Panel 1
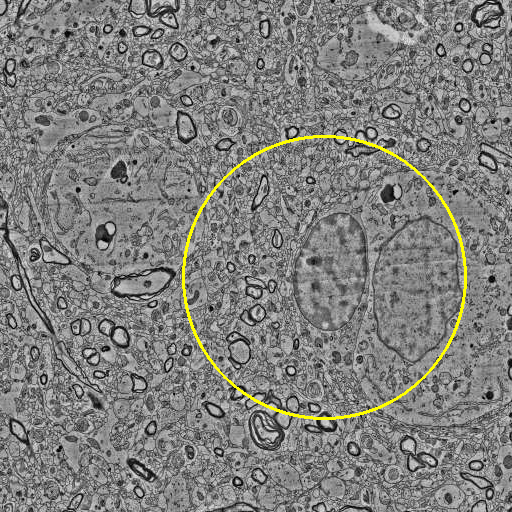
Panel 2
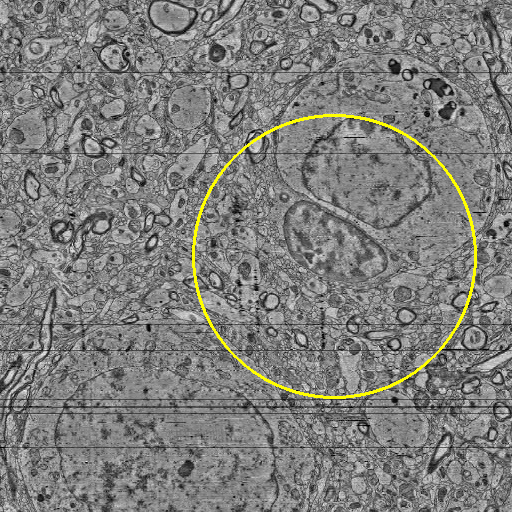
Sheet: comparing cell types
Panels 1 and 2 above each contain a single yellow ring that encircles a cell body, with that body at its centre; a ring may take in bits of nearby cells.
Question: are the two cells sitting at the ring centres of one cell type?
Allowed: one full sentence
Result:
Yes, the ring-centre cells in Panel 1 and Panel 2 are of one type.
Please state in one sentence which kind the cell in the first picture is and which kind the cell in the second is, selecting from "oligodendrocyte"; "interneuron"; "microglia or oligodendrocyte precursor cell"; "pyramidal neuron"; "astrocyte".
Both rings mark an oligodendrocyte, one in each picture.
